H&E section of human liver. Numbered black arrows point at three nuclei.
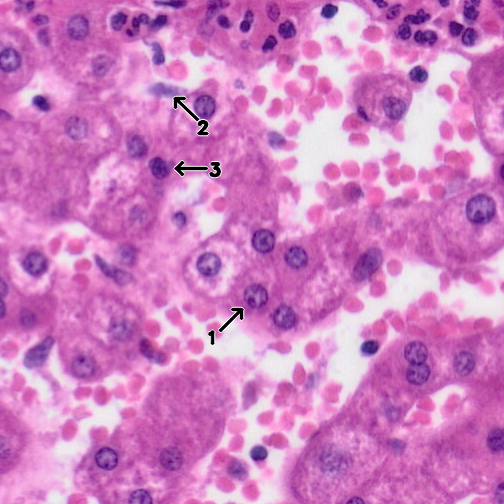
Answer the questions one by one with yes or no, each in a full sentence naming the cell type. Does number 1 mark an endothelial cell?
No, the cell numbered 1 is a hepatocyte rather than an endothelial cell.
